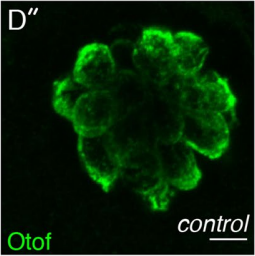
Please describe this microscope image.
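Lateral line neuromast seen from above, a rosette of hair cells outlined in green. The staining lies mainly at the rim of each cell, giving rings around rounded cell bodies. About a dozen cells are packed side by side, the cluster roughly circular. The interiors of the cells are darker than their edges. Little staining is seen outside the cluster.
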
